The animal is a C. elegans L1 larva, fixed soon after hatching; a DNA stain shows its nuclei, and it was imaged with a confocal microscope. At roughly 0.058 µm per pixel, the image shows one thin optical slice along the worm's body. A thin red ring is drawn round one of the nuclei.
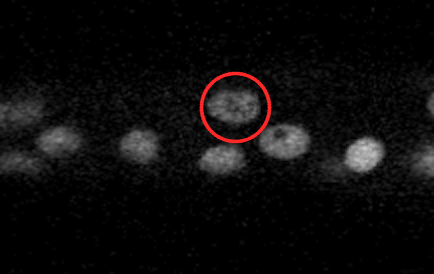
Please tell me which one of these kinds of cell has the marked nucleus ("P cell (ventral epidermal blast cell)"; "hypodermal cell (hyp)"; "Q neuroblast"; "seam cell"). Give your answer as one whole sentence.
What is marked is the nucleus of a hypodermal cell (hyp).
